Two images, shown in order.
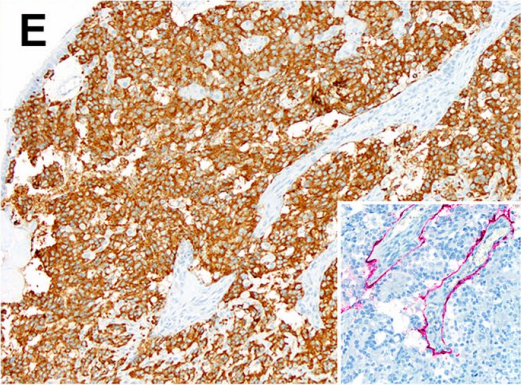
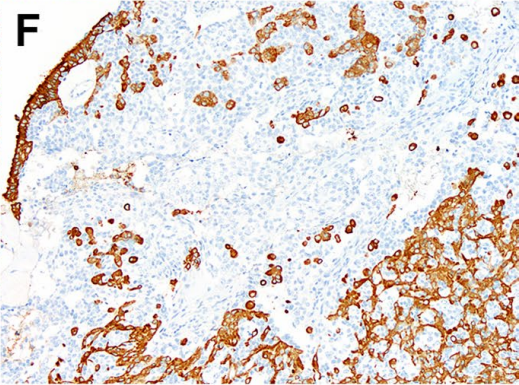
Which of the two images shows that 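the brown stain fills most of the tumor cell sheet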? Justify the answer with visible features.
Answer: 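Second image: brown stain confined to a surface lining and scattered cords, most cells unstained. First image: brown stain covers nearly all tumor cells in the nests.
The first image.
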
